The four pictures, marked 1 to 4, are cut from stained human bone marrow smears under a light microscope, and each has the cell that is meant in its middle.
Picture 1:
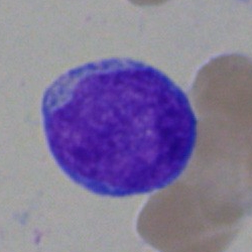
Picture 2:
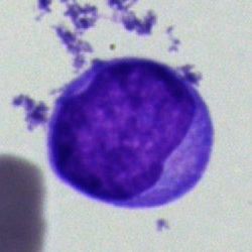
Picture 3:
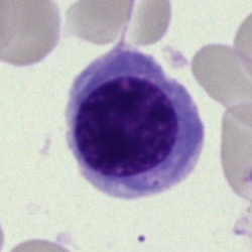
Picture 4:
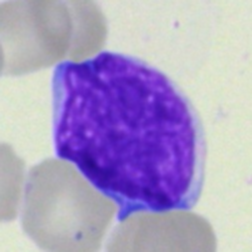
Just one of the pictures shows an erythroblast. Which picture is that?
3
